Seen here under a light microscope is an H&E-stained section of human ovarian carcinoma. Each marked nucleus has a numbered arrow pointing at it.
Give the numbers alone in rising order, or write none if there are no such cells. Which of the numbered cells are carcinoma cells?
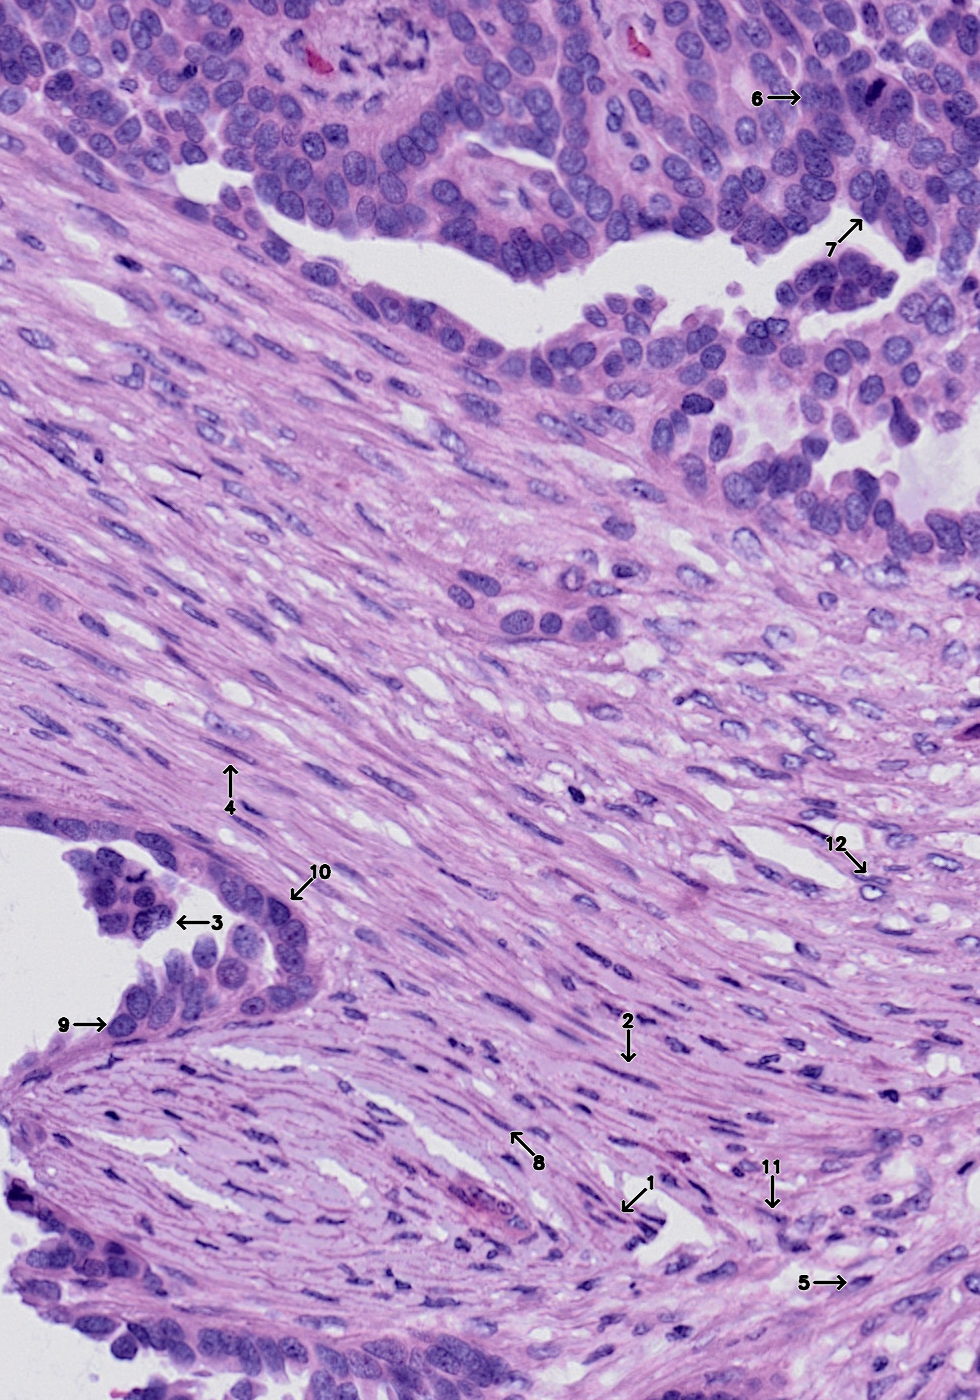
3, 6, 7, 9, 10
